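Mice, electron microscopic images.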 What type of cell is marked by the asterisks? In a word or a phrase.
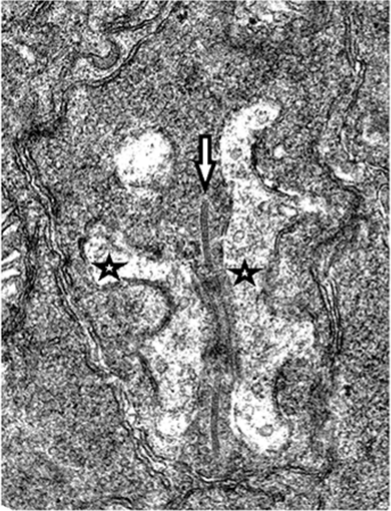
Horizontal cells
